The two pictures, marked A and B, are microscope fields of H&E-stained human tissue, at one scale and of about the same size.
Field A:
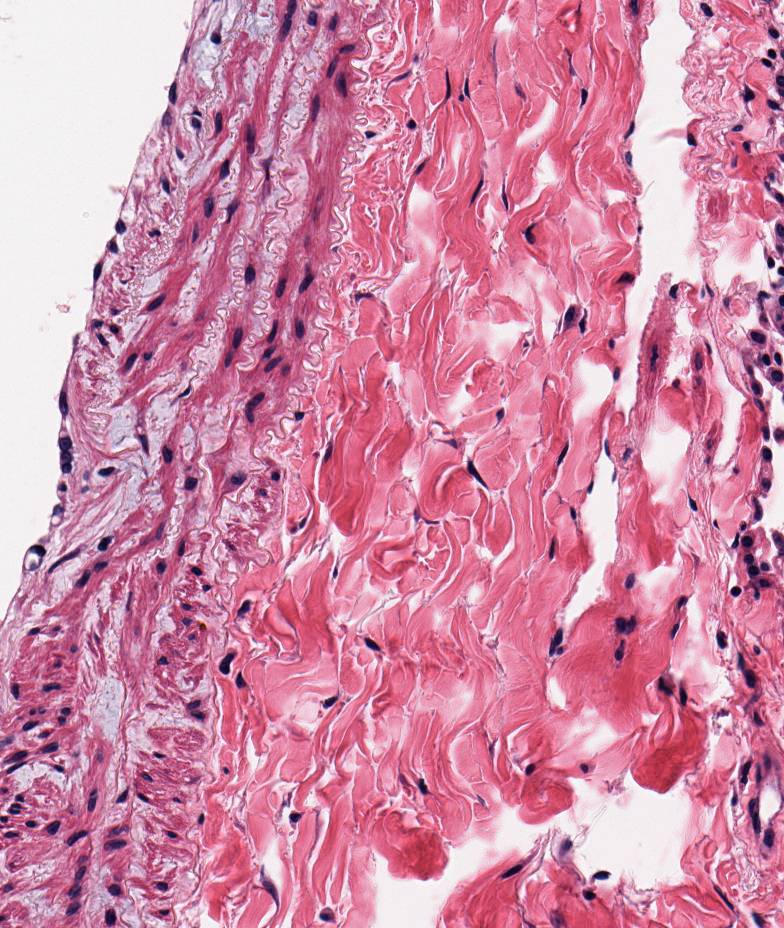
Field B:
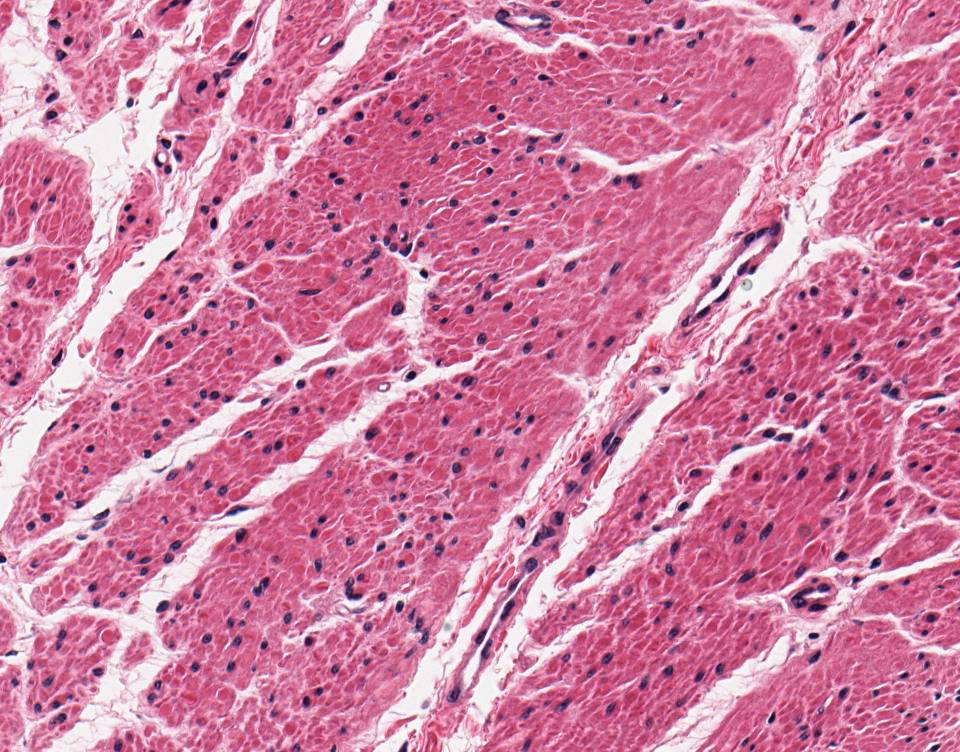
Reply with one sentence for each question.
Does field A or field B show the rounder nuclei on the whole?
It is field B whose nuclei are the rounder.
